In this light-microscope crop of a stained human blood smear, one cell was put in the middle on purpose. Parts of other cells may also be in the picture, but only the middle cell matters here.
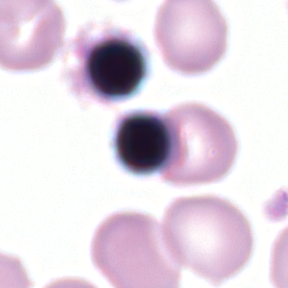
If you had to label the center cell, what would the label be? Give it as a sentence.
This crop is built around an erythroblast at its centre.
